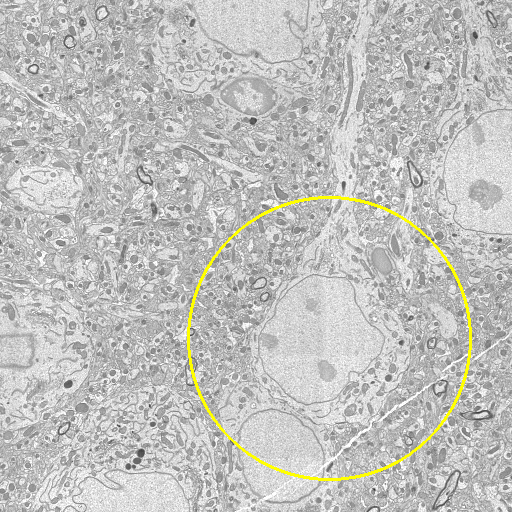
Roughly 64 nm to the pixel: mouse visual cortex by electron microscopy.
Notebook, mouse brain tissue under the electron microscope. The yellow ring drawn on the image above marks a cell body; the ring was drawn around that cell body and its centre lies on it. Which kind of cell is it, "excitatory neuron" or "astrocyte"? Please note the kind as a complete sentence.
The marked cell body is that of an excitatory neuron.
